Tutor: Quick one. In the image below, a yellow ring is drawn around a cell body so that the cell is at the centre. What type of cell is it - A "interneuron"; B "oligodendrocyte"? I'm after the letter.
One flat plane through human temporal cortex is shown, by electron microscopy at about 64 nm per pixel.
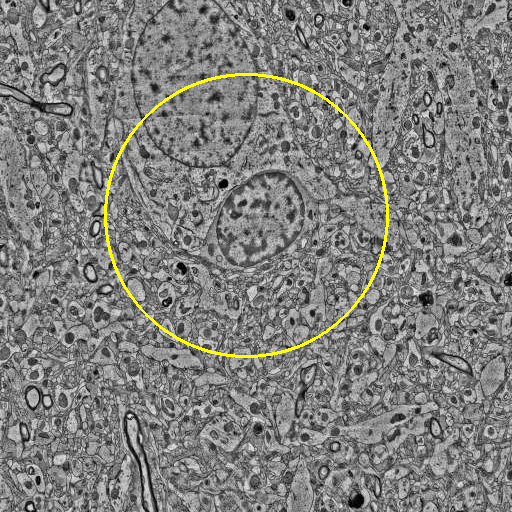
B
